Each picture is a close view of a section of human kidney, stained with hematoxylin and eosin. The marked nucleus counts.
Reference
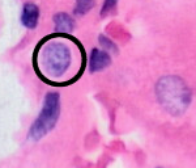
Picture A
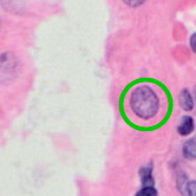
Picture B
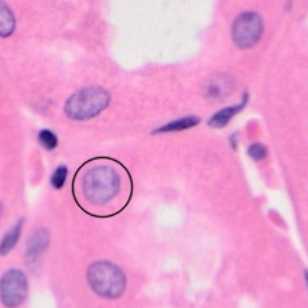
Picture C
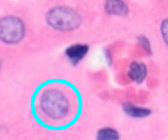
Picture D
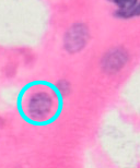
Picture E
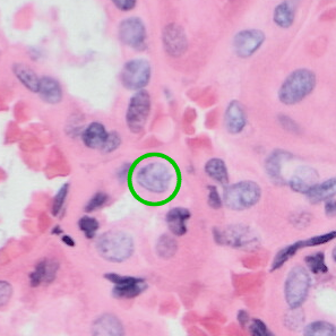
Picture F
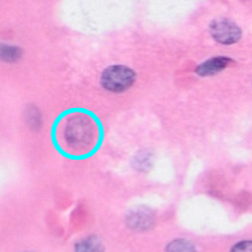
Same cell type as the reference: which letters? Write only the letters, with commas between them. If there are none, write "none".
E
